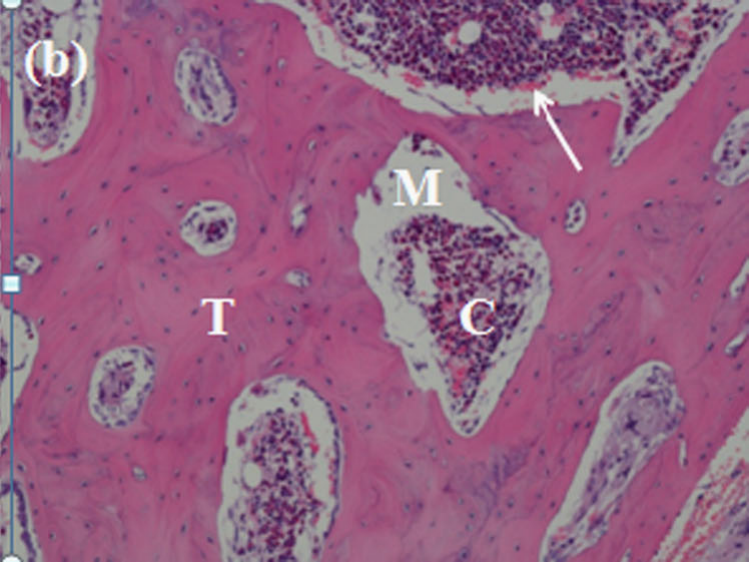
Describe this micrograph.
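This is bone tissue in which broad pink-stained trabeculae fill most of the field. Small dark nuclei lie in lacunae scattered through the pink matrix. The trabeculae enclose rounded and irregular spaces packed with cells that have dark purple nuclei, together with some red blood cells. Pale clear gaps separate the cell-filled spaces from the surrounding bone.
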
